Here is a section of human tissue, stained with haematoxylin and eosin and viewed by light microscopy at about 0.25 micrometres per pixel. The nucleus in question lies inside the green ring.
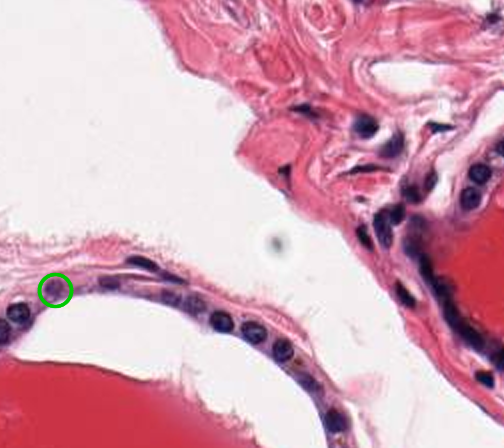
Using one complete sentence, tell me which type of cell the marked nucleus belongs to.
The marked nucleus is part of a thyroid follicular cell.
